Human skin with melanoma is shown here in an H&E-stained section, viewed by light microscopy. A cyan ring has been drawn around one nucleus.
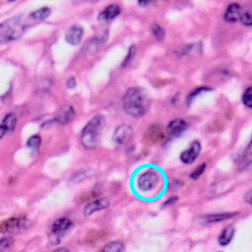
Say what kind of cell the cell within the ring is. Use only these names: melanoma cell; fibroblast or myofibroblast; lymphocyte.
lymphocyte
